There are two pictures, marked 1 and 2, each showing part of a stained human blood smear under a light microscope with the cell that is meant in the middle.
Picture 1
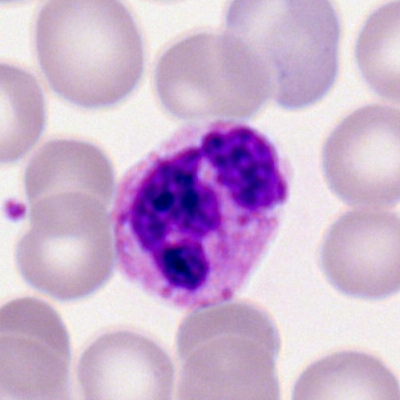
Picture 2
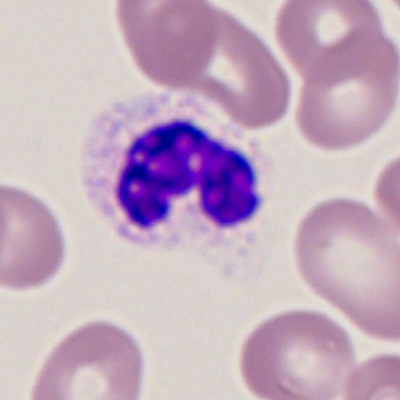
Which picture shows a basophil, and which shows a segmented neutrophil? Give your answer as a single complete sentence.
The cell in picture 1 is a basophil, and the one in picture 2 is a segmented neutrophil.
